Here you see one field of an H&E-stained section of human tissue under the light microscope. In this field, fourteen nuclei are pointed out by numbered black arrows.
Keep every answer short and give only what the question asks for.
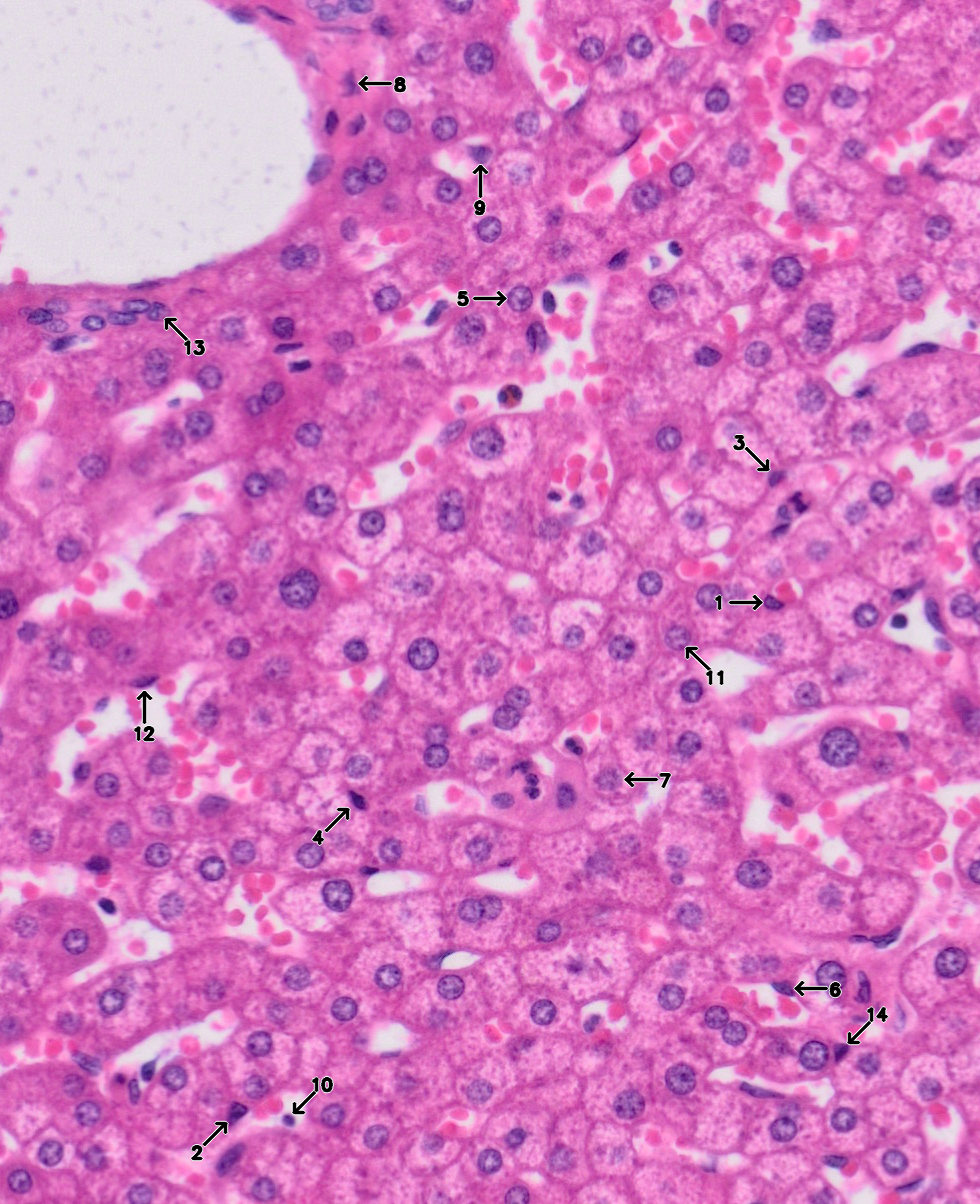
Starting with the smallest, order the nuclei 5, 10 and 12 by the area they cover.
10, 12, 5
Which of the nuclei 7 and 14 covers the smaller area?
14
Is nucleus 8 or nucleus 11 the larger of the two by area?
11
